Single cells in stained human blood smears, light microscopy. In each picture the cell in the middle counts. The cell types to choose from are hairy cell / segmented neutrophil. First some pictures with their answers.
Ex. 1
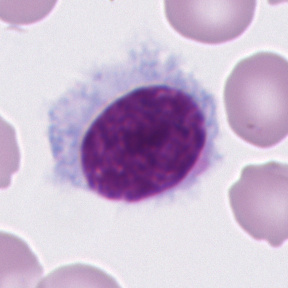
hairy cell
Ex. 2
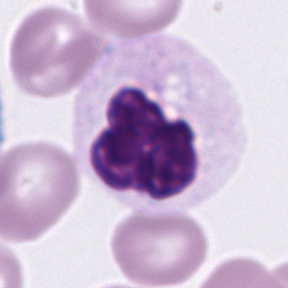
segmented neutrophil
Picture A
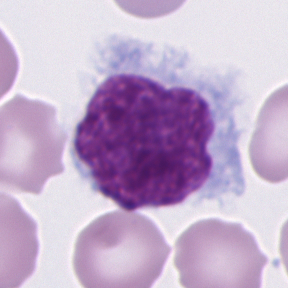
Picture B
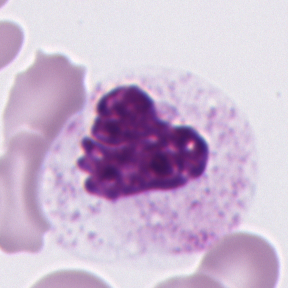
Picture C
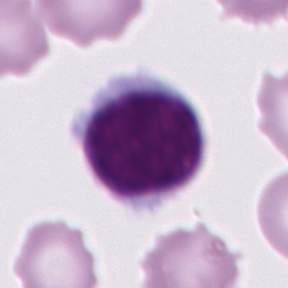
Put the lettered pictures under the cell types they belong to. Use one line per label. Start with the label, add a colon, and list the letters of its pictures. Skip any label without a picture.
hairy cell: A, C
segmented neutrophil: B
